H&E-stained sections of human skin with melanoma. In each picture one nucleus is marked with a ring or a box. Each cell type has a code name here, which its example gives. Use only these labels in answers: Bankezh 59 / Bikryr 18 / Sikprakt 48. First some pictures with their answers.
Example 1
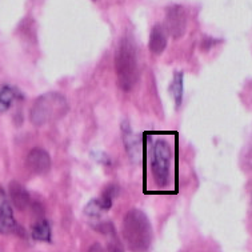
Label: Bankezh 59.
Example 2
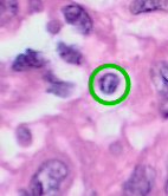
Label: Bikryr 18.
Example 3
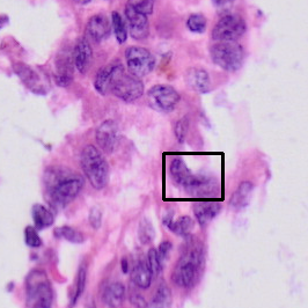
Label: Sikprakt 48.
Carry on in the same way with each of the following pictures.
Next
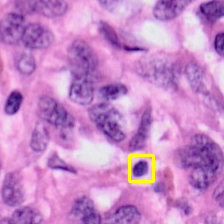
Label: Bikryr 18.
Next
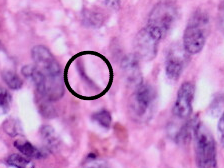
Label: Sikprakt 48.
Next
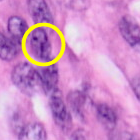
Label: Sikprakt 48.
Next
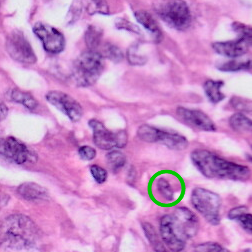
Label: Bankezh 59.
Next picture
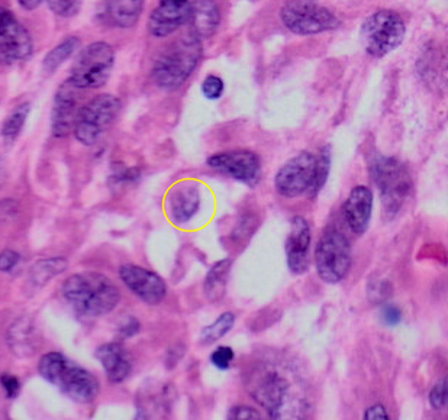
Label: Sikprakt 48.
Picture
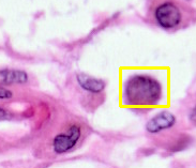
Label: Bankezh 59.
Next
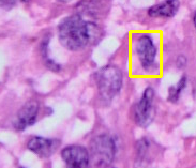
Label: Bankezh 59.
